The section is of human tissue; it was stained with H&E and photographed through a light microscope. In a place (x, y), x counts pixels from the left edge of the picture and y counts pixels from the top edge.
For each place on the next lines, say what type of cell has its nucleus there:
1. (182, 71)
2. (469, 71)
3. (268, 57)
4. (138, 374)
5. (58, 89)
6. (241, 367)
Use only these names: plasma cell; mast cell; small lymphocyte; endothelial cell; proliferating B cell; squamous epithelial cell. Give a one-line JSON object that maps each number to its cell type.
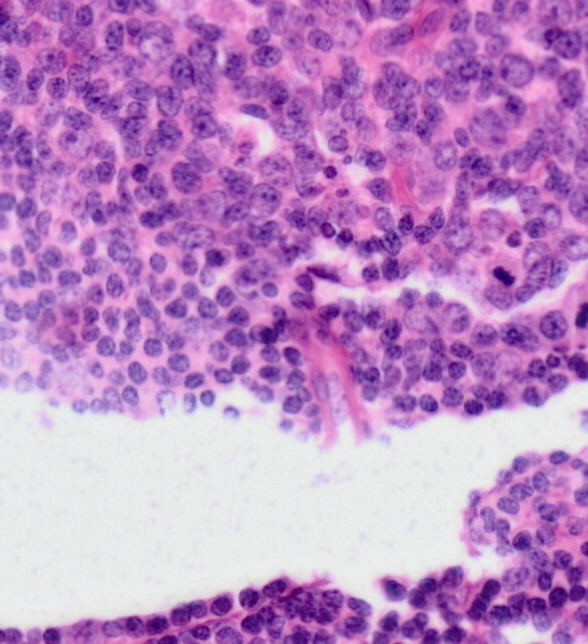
{"1": "proliferating B cell", "2": "proliferating B cell", "3": "proliferating B cell", "4": "small lymphocyte", "5": "proliferating B cell", "6": "small lymphocyte"}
